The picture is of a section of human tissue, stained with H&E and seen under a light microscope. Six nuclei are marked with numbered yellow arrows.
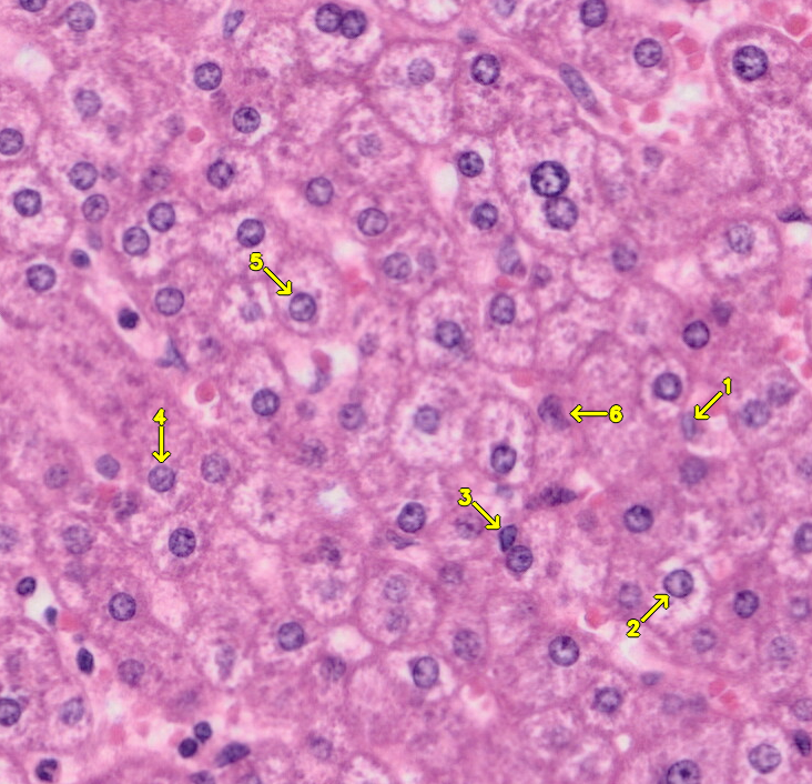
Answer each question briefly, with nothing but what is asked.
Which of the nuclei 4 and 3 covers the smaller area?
3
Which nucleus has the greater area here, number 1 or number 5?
5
